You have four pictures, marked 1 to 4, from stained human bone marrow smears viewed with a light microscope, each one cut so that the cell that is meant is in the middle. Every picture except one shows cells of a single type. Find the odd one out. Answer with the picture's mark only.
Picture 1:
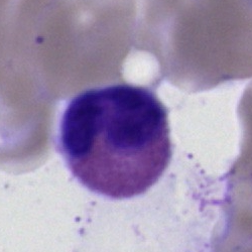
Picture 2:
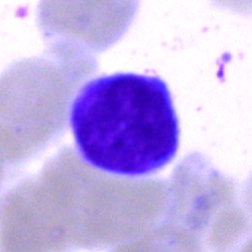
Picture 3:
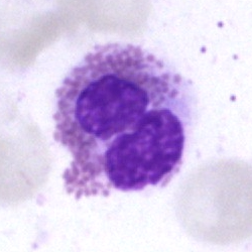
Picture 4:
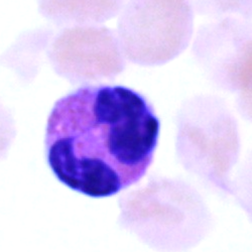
2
